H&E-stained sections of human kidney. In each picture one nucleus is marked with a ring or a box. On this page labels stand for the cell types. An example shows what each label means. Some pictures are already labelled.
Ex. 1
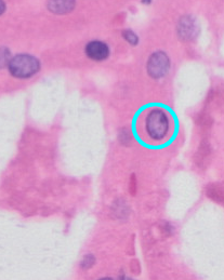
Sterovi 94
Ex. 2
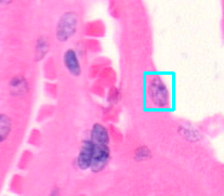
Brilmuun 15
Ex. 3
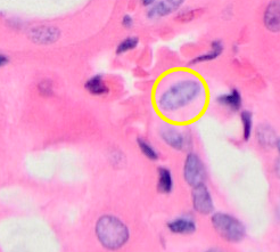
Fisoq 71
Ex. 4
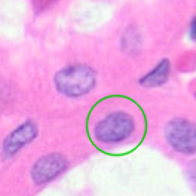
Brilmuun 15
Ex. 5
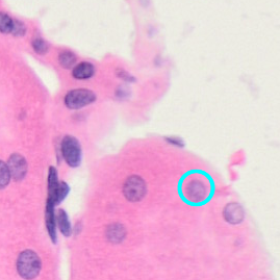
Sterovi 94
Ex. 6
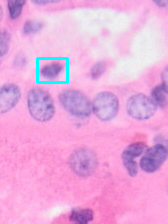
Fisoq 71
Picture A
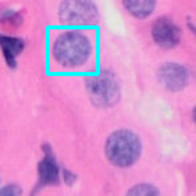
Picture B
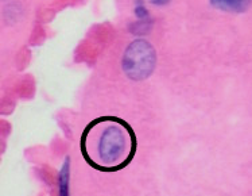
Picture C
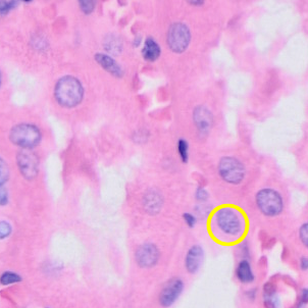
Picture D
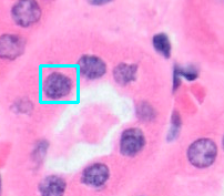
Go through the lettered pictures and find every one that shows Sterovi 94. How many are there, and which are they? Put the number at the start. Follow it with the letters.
1, namely B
